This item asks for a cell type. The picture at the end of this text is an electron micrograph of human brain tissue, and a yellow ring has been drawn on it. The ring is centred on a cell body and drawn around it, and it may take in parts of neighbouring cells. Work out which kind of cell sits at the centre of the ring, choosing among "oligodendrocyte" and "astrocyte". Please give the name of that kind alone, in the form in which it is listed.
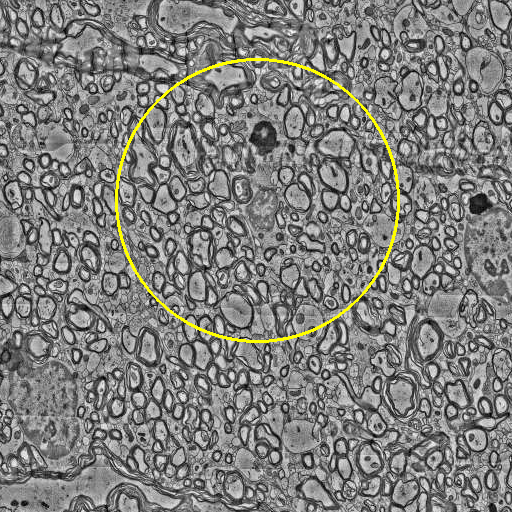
oligodendrocyte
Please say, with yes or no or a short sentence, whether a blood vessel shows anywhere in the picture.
No.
